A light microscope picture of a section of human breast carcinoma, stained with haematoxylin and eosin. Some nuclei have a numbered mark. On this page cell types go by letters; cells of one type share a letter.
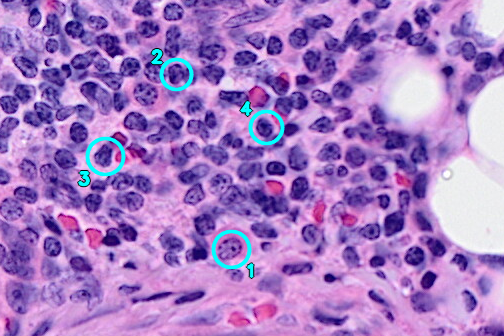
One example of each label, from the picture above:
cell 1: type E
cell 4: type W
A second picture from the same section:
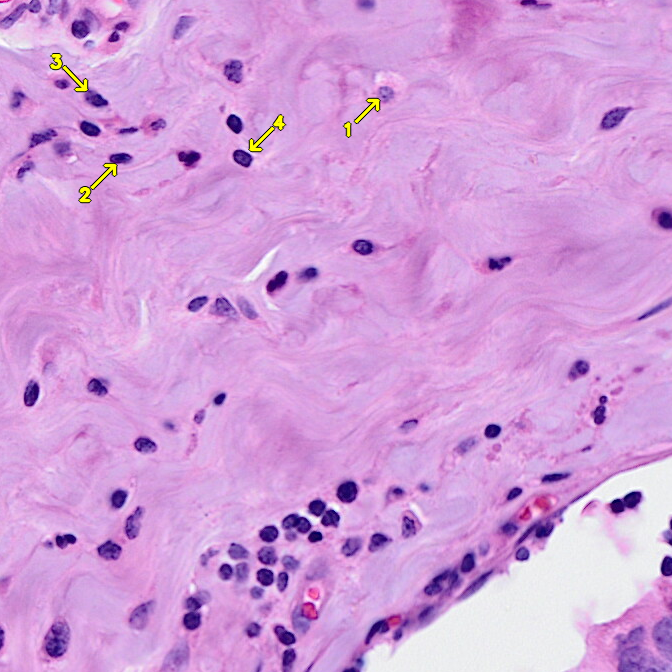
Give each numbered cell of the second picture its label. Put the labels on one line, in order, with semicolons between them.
type E; type W; type W; type W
